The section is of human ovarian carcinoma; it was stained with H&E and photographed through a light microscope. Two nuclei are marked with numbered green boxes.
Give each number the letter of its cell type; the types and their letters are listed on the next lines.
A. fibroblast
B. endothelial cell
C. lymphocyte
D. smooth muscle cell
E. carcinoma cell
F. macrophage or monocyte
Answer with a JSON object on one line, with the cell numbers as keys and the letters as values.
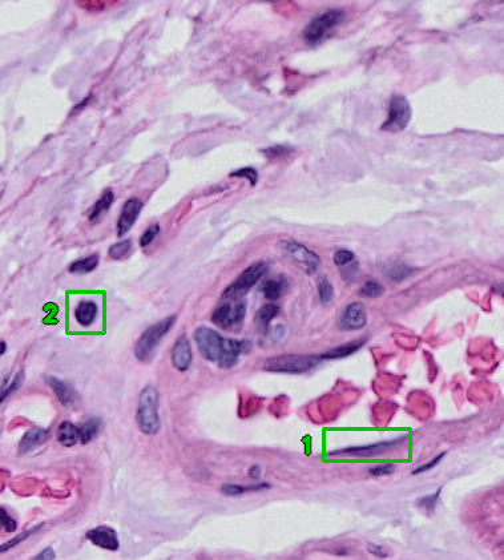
{"1": "B", "2": "C"}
